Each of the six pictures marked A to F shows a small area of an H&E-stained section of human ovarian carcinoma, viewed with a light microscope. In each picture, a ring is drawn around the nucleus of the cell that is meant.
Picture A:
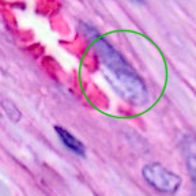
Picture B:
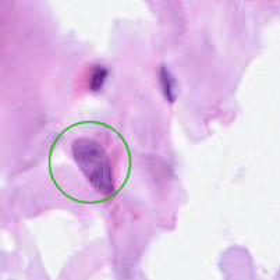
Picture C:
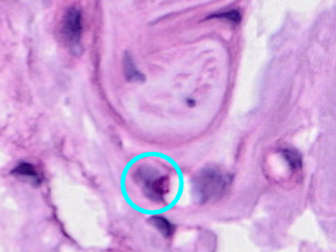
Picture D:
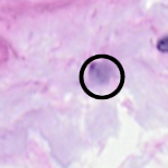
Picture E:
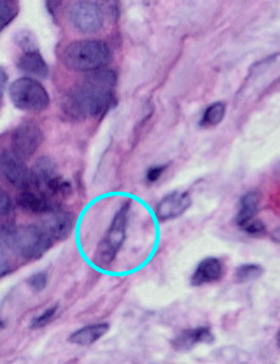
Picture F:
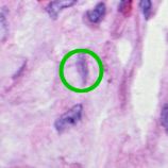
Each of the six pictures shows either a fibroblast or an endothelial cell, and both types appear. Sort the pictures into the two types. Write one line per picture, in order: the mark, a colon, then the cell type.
A: endothelial cell
B: fibroblast
C: endothelial cell
D: fibroblast
E: fibroblast
F: fibroblast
